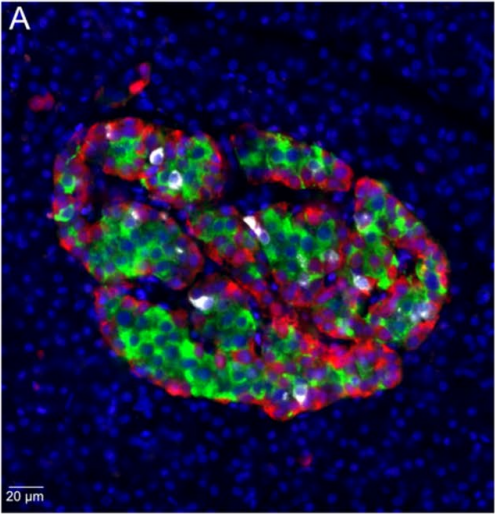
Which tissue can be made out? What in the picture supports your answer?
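Islets. A compact, sharply bounded cluster of cells sits in the middle of surrounding tissue. The cluster is filled with brightly labelled cells of three colours, unlike the tissue around it. The cluster is divided into lobules by red-rimmed septa.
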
